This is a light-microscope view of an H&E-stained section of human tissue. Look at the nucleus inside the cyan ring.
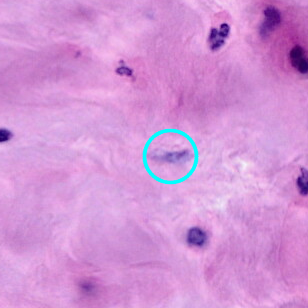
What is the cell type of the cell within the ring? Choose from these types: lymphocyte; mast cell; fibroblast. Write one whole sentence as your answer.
Speaking plainly, the cell within the ring is nothing other than a fibroblast.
